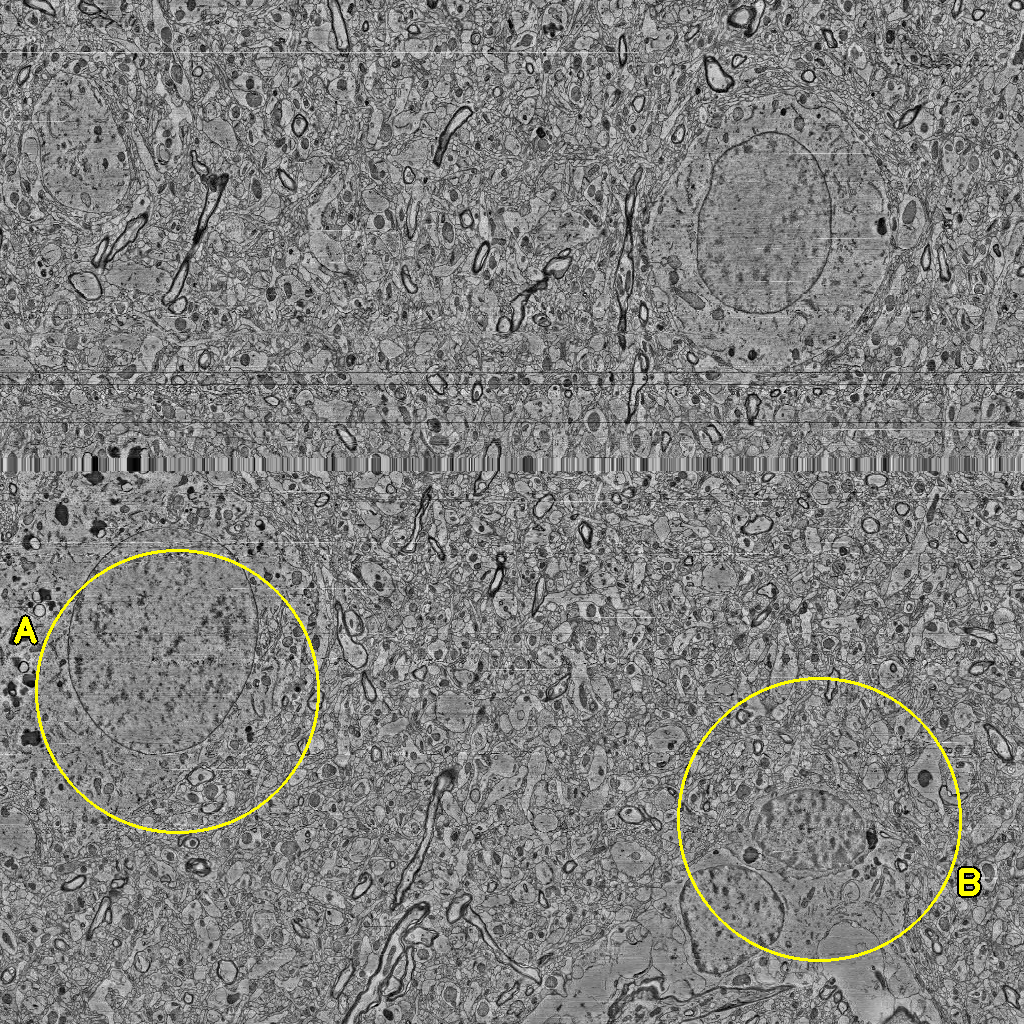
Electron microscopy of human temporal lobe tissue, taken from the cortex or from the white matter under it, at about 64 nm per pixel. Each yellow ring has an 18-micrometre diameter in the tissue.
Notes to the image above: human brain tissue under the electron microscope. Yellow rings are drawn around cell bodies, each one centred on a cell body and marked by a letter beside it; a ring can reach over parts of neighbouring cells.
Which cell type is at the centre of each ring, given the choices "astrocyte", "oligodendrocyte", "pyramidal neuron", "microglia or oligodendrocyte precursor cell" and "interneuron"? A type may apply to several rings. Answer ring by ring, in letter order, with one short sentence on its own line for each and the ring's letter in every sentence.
Inside ring A, at its centre, is a pyramidal neuron.
Inside ring B, at its centre, is an oligodendrocyte.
